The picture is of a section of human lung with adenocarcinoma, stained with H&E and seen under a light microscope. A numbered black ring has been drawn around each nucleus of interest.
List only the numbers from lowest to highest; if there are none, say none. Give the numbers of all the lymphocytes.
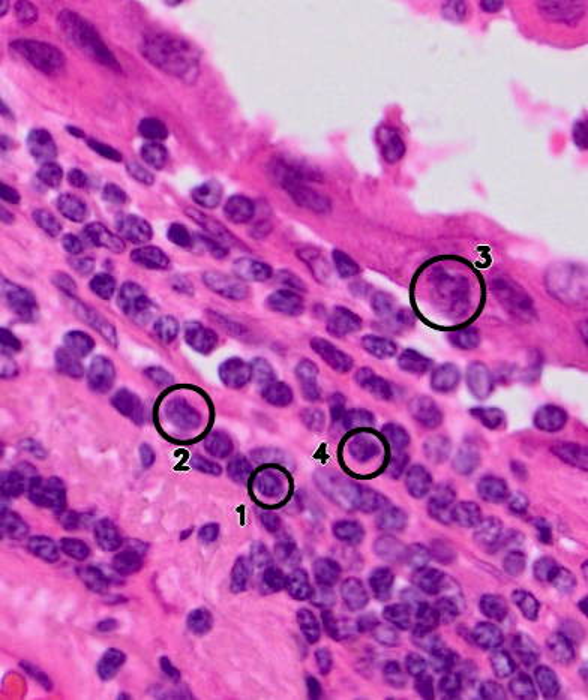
1, 2, 4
